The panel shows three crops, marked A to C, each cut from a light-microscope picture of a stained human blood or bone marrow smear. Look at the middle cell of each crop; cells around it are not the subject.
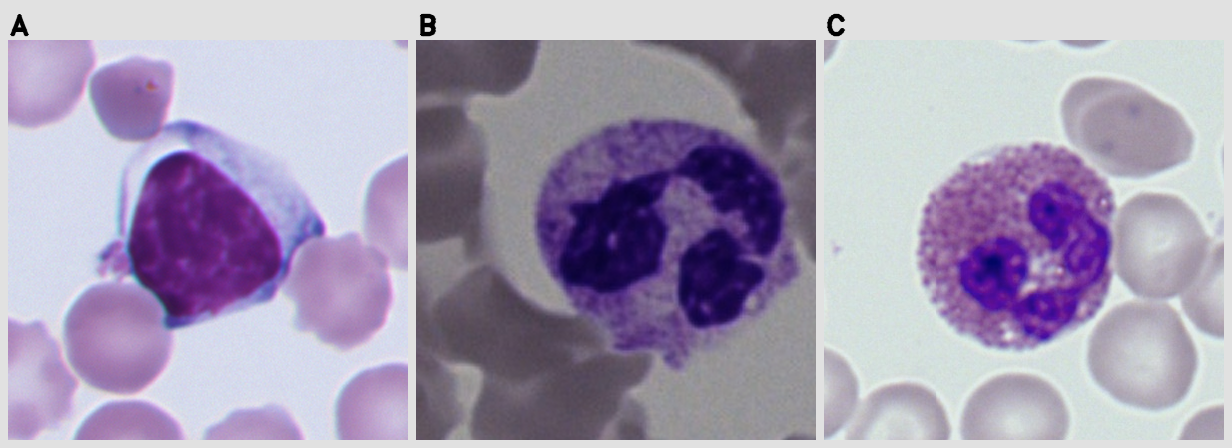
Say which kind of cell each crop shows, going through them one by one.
A: lymphocyte
B: segmented neutrophil
C: eosinophil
